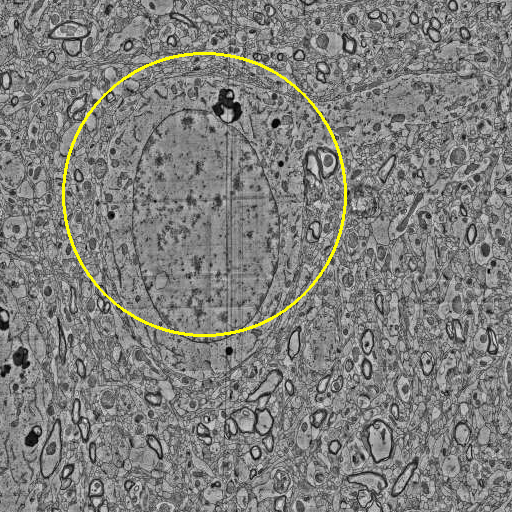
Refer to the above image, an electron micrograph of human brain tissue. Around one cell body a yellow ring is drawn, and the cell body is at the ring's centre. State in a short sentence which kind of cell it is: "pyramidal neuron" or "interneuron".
The centre of the ring falls on a pyramidal neuron.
